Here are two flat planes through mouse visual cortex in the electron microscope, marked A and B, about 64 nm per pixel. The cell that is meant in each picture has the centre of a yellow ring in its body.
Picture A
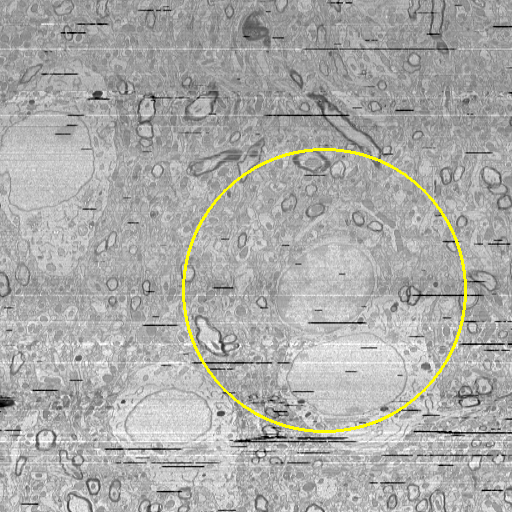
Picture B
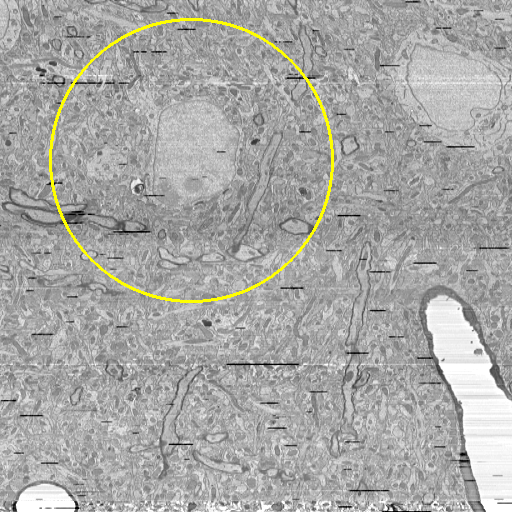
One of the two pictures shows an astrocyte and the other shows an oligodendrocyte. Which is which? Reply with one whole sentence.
Picture A shows an oligodendrocyte and picture B shows an astrocyte.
